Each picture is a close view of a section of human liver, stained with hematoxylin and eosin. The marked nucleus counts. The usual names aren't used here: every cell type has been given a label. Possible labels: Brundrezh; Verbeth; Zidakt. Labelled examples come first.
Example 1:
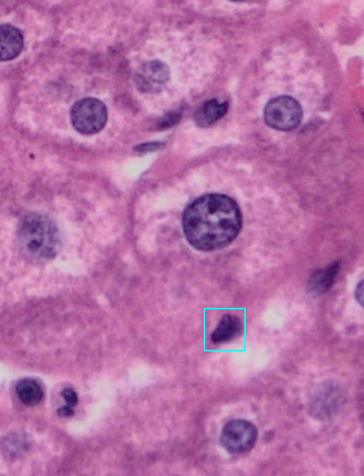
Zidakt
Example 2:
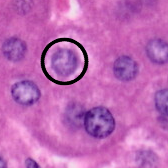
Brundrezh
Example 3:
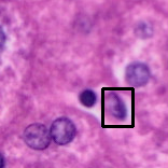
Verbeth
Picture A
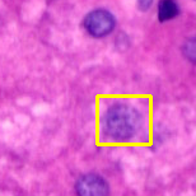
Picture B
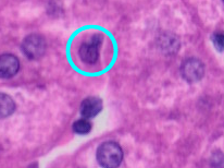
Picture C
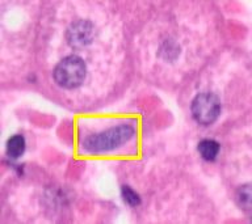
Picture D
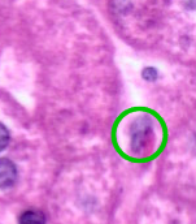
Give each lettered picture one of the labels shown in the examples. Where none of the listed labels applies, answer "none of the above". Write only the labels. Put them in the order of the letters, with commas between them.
Brundrezh, Verbeth, Verbeth, Verbeth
